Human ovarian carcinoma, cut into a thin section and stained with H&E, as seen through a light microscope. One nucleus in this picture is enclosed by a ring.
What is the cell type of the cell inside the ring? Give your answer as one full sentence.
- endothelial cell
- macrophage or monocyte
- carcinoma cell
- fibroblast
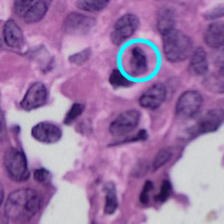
As to its cell type, the cell inside the ring is a macrophage or monocyte.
